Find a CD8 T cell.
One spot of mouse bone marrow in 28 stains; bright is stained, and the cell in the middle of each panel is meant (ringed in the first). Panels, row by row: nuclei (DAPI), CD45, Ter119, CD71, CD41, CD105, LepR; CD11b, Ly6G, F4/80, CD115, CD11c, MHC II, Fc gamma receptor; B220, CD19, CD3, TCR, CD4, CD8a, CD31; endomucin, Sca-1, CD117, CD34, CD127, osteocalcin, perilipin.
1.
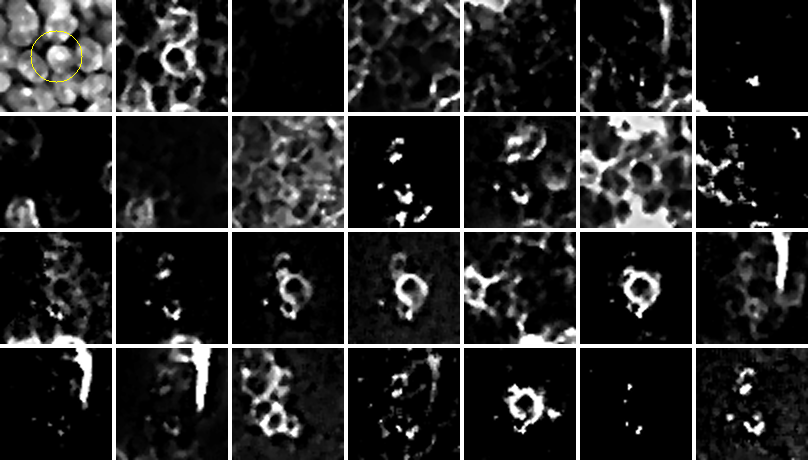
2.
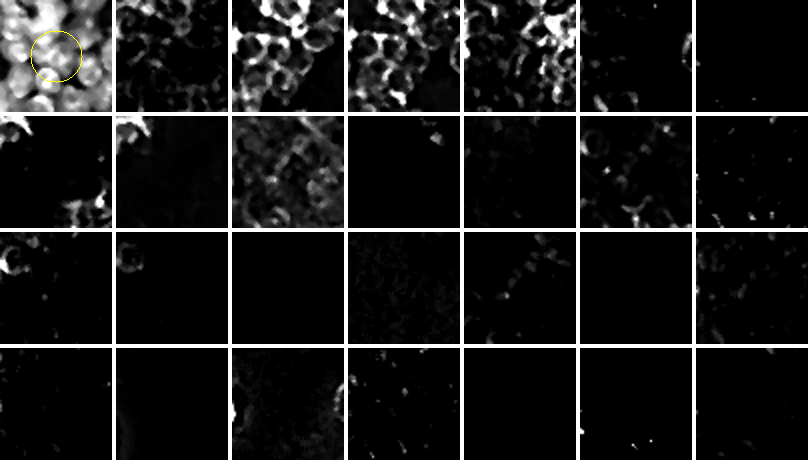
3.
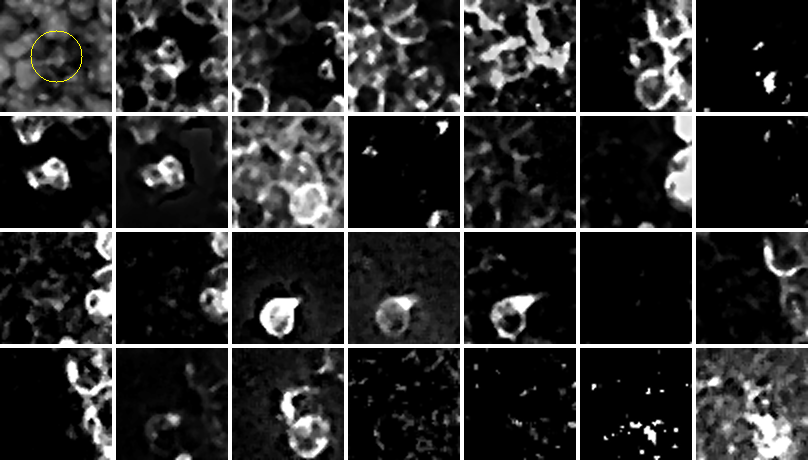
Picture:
1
